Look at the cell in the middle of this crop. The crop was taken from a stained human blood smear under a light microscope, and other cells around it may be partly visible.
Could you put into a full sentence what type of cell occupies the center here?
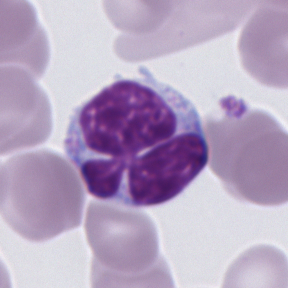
The centrally positioned cell in the crop represents a large granular lymphocyte.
